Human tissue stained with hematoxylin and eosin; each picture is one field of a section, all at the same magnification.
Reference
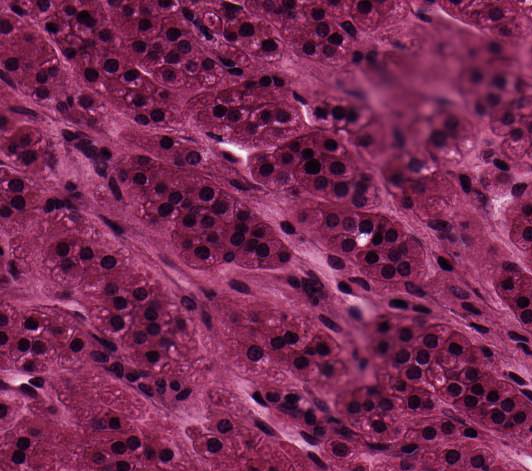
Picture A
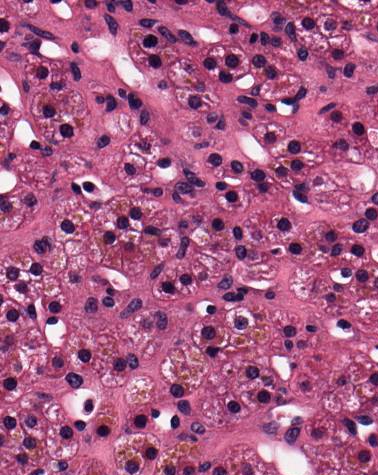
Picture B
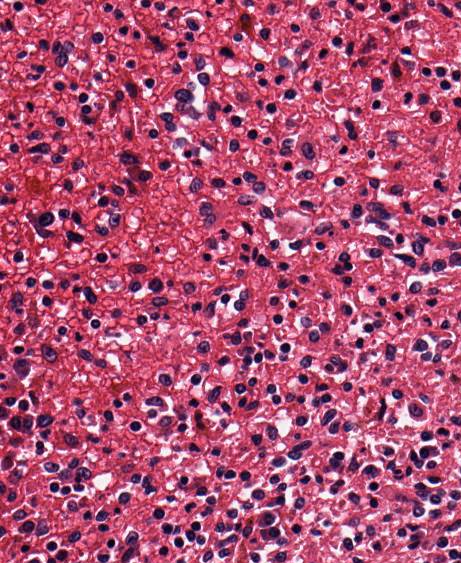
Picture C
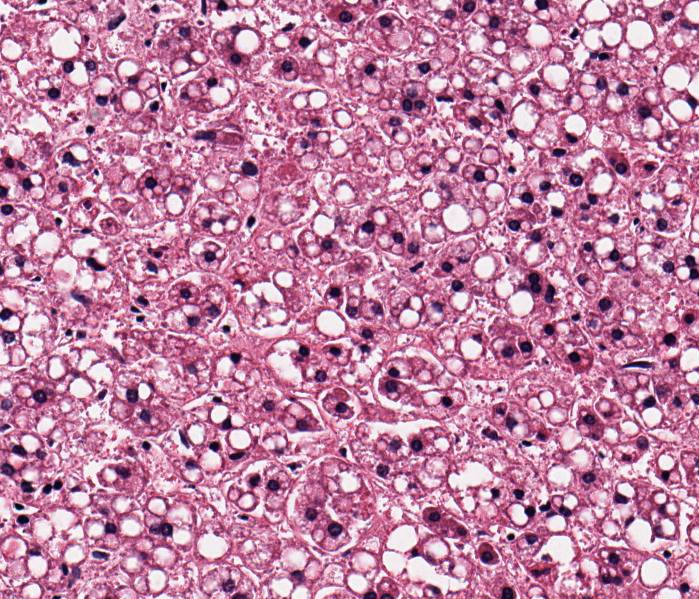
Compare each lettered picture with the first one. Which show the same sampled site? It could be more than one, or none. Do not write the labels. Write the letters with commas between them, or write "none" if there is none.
A, C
